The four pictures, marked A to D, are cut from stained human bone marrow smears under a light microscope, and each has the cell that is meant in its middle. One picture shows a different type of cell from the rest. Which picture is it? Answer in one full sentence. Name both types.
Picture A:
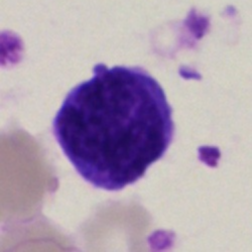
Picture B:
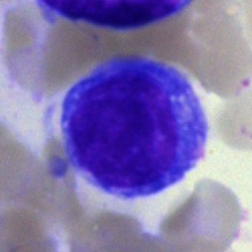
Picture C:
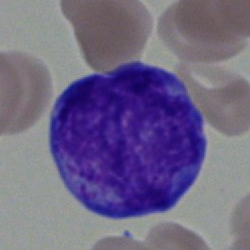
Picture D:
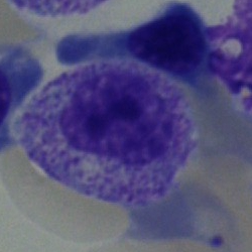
Picture D differs, because its cell is a myelocyte and the rest are blasts.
